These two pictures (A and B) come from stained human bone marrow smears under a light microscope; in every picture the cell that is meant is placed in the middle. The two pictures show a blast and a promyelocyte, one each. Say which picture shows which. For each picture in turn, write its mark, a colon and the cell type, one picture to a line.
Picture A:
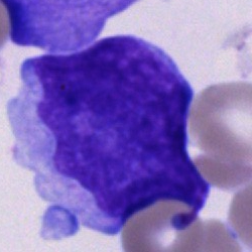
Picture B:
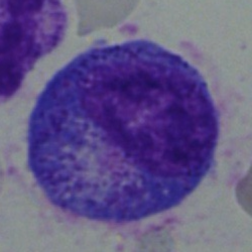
A: blast
B: promyelocyte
